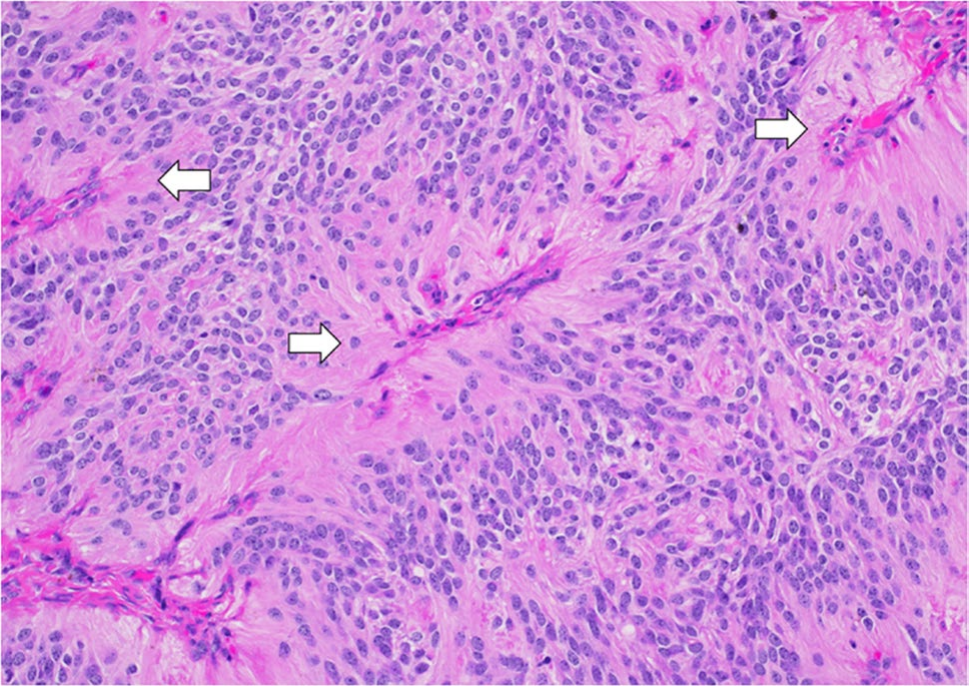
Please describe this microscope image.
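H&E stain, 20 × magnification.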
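The cells lie in sheets with a fibrillary pink background between them. Throughout the tumor, small blood vessels are surrounded by broad pink fibrillary zones that lack nuclei. The tumor nuclei are lined up radially around the outer edge of these zones, forming perivascular pseudorosettes.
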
